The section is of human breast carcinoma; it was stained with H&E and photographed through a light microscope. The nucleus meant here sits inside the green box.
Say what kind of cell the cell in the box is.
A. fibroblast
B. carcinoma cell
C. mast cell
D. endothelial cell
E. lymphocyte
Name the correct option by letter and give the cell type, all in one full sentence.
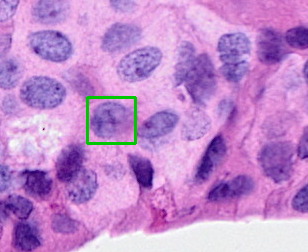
Option B is right, and the cell in the box is a carcinoma cell.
